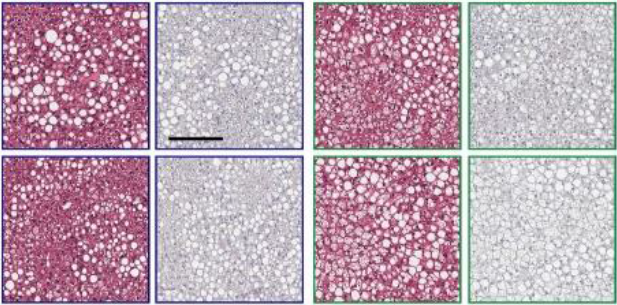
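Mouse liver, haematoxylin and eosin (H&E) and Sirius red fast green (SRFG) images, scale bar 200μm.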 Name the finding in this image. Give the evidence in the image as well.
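Steatosis. Liver tissue is filled with round, clear, empty-looking vacuoles of varying size. The vacuoles lie within the tissue between pink- or grey-stained cell material.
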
